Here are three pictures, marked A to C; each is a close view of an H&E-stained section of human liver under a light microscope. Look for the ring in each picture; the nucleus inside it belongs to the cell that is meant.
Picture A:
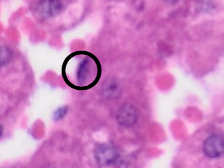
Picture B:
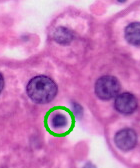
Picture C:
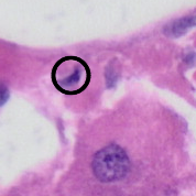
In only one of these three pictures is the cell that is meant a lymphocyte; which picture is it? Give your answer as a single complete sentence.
It is picture B that shows the lymphocyte.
